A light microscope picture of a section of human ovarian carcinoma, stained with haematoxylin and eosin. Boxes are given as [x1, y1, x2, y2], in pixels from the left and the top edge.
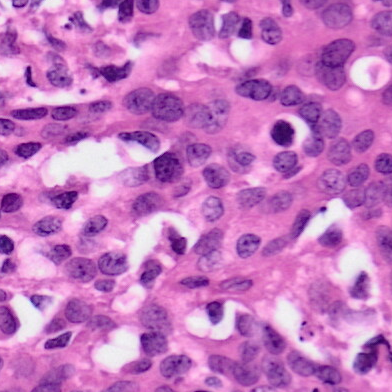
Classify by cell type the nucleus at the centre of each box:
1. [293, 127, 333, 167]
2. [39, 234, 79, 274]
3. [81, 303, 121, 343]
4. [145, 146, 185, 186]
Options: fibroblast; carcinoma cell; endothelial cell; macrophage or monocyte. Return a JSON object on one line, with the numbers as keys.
{"1": "carcinoma cell", "2": "macrophage or monocyte", "3": "carcinoma cell", "4": "carcinoma cell"}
